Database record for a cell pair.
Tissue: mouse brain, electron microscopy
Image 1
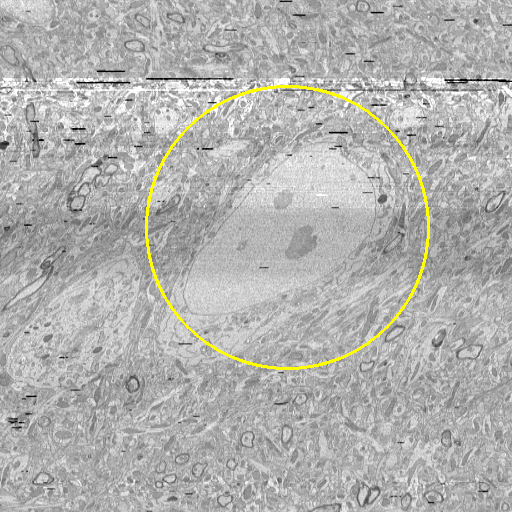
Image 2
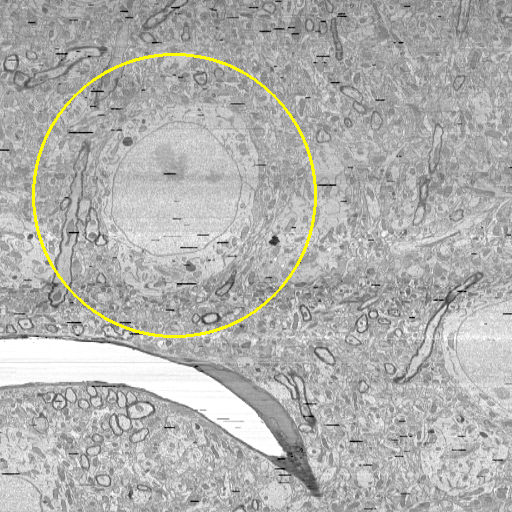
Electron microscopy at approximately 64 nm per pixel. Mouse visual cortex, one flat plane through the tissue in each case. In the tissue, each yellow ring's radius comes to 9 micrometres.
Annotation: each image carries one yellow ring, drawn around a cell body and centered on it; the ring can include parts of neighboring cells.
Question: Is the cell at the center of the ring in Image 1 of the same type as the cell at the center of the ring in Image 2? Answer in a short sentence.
Yes, the cells are of the same type.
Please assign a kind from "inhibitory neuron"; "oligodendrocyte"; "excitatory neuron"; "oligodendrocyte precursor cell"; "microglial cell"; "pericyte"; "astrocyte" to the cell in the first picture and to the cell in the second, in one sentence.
Each of the ringed cells, first and second, is an excitatory neuron.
